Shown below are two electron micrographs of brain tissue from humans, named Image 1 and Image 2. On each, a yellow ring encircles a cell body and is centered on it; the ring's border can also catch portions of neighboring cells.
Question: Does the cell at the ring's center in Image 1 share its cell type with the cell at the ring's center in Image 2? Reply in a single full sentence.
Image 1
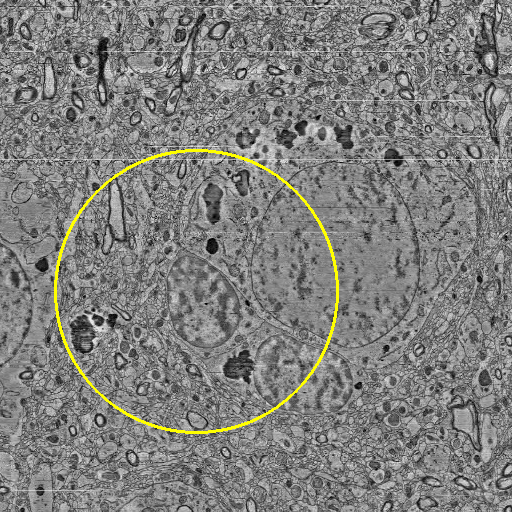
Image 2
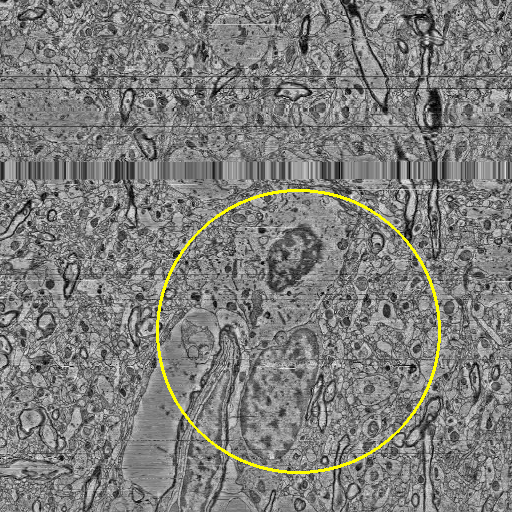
Yes, the two cells at the ring centers, in Image 1 and Image 2, share one cell type.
